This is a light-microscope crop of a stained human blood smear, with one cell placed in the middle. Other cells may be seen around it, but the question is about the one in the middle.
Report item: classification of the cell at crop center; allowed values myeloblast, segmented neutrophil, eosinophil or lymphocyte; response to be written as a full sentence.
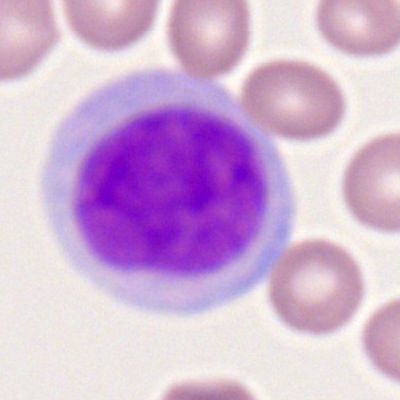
The crop shows a myeloblast in its centre.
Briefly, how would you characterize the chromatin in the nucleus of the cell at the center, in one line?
Thanks for asking; the chromatin is coarsely clumped.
